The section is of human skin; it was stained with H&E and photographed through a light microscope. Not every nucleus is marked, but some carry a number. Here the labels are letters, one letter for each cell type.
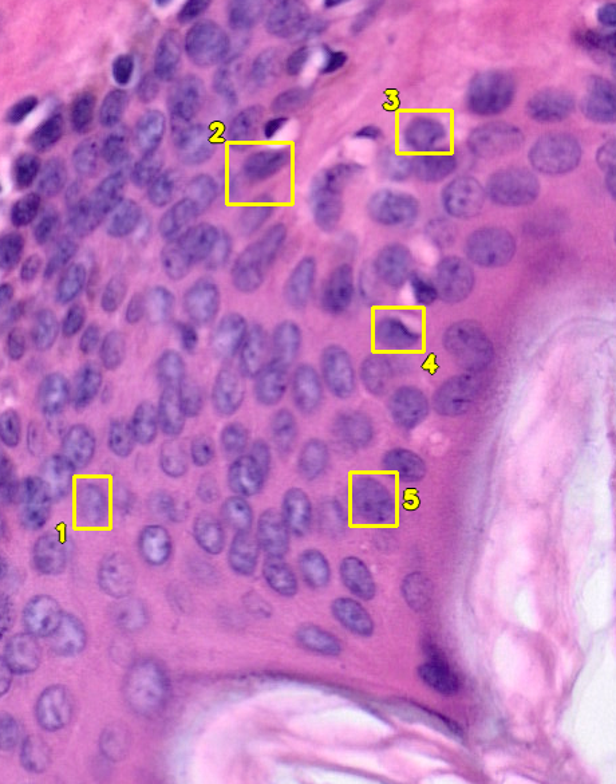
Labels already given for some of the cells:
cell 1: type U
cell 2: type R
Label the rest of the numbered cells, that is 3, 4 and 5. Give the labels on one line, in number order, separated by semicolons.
type R; type U; type U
